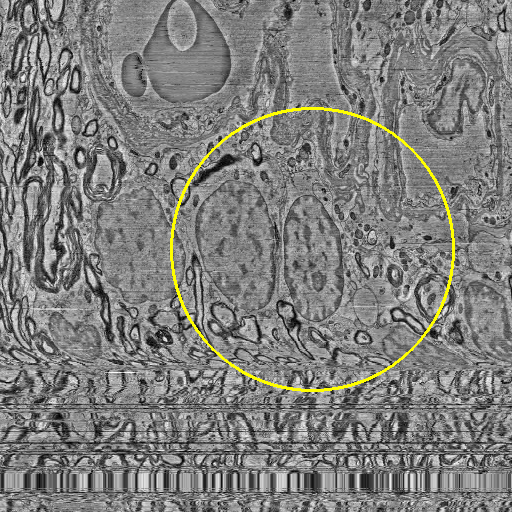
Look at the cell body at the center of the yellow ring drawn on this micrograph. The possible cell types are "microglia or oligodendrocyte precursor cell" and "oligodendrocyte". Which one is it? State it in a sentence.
The cell in the middle of the ring is a microglial cell or oligodendrocyte precursor cell.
